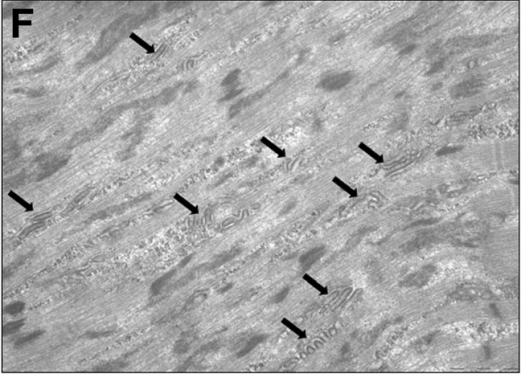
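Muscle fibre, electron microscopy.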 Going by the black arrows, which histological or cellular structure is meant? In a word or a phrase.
triads duplication or multiplication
